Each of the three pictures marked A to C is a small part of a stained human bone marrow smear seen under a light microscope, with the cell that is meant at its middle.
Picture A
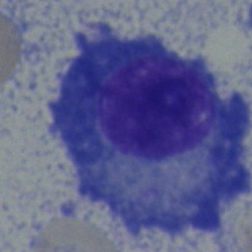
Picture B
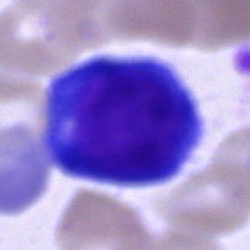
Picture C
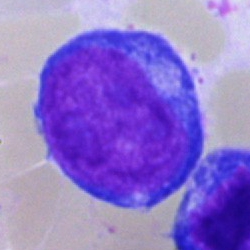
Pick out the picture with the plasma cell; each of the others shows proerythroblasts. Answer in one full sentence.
The plasma cell is the one in picture A.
